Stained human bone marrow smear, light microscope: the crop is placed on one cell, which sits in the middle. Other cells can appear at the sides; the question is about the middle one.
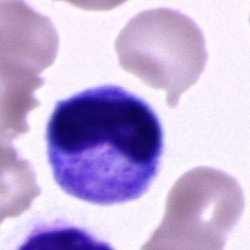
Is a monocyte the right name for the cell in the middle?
no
